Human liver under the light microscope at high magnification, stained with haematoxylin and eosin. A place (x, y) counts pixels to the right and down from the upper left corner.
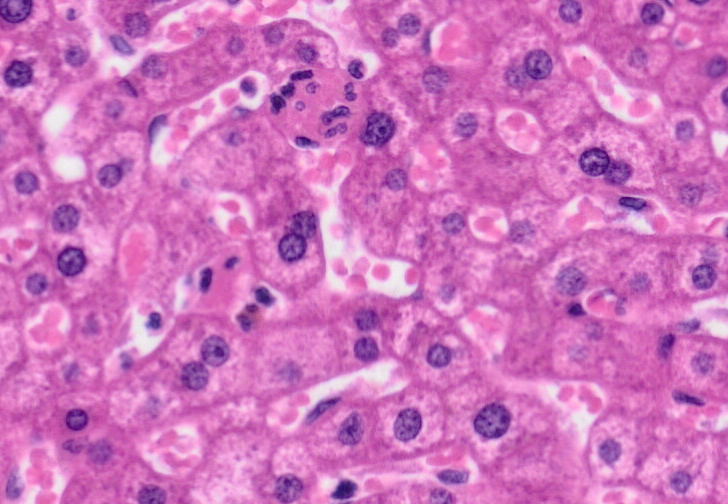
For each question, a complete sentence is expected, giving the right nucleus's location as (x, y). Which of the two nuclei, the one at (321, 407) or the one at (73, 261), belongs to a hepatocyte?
Among the two, the nucleus at (73, 261) is the nucleus of a hepatocyte.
